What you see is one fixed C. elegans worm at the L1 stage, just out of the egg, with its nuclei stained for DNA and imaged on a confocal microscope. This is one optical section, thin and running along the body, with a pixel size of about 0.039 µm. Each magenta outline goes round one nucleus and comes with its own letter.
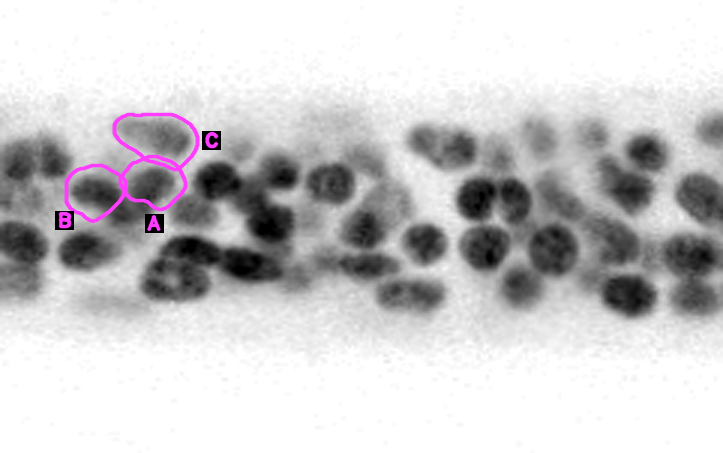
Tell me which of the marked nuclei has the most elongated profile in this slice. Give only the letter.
C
